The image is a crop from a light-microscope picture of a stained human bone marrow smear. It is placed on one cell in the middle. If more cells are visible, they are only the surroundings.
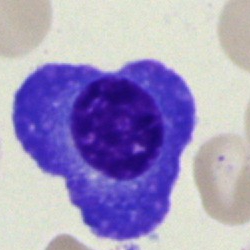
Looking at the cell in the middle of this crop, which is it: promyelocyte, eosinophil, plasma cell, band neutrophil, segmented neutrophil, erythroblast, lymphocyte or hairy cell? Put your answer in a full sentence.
Where the crop is centred, there is a plasma cell.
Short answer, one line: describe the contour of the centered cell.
The margin of this cell is irregular, showing raggedness or projections instead of smoothness.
